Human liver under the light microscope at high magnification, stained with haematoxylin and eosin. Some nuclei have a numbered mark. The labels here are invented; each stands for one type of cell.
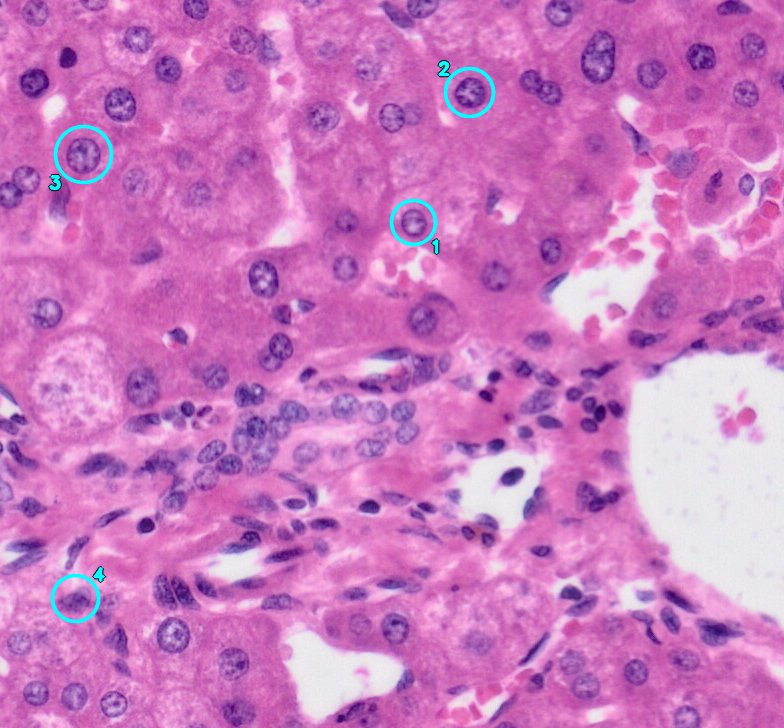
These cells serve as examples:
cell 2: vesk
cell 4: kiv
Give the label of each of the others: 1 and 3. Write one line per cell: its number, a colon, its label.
1: vesk
3: vesk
